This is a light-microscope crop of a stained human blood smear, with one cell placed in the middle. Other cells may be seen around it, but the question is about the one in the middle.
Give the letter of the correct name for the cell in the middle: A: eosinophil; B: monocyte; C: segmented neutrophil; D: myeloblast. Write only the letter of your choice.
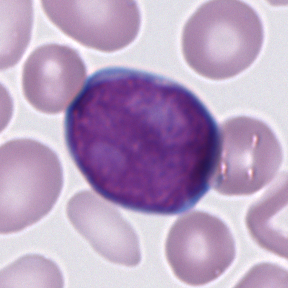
D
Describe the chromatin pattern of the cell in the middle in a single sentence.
Answer: the chromatin is fine and has no coarse clumps.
